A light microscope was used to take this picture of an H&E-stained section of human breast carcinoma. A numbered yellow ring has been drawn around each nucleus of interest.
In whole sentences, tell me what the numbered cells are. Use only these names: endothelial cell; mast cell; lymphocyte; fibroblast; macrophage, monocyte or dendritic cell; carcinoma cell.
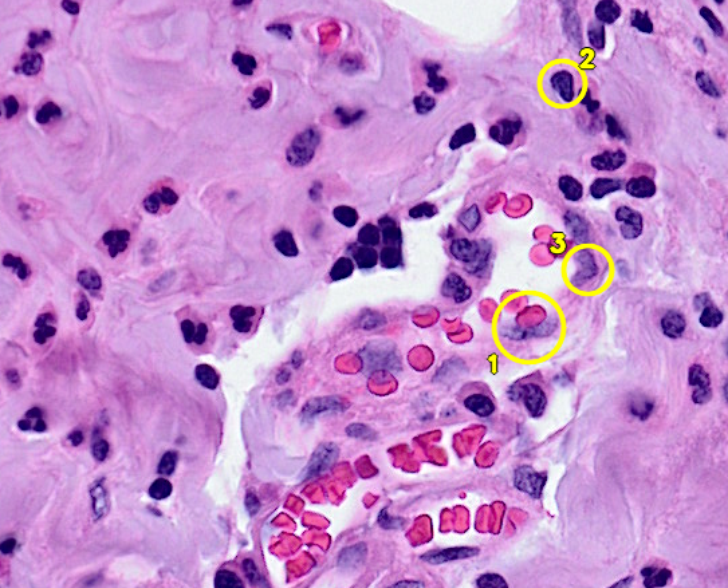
Cell 1 is an endothelial cell, cell 2 is a lymphocyte and cell 3 is an endothelial cell.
